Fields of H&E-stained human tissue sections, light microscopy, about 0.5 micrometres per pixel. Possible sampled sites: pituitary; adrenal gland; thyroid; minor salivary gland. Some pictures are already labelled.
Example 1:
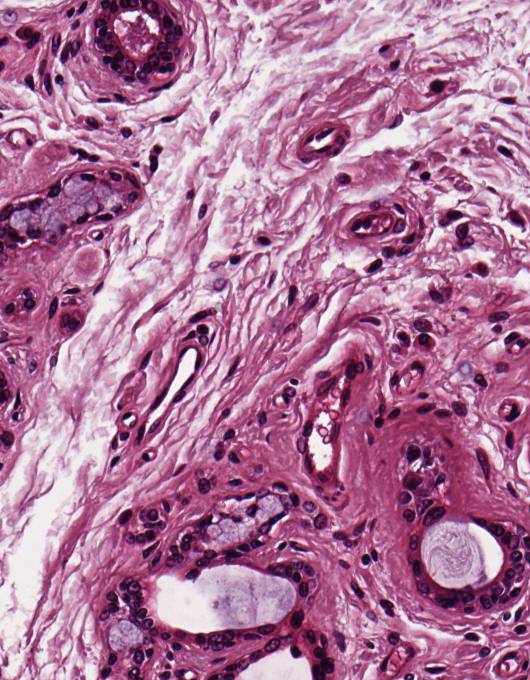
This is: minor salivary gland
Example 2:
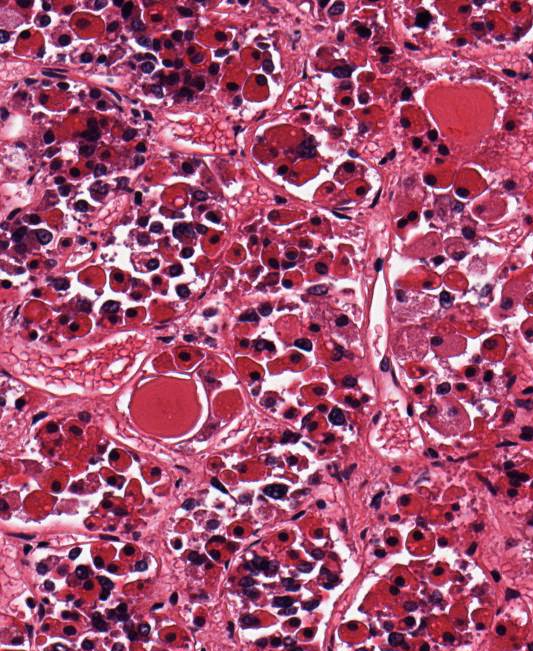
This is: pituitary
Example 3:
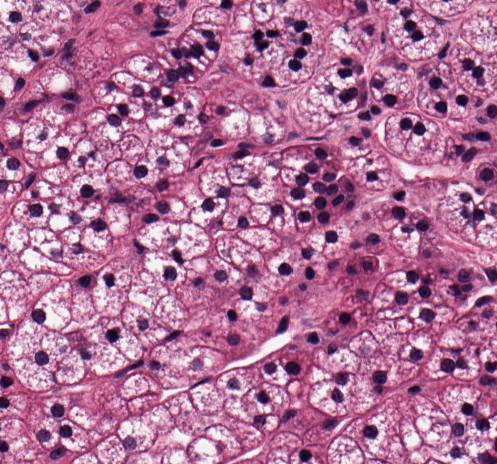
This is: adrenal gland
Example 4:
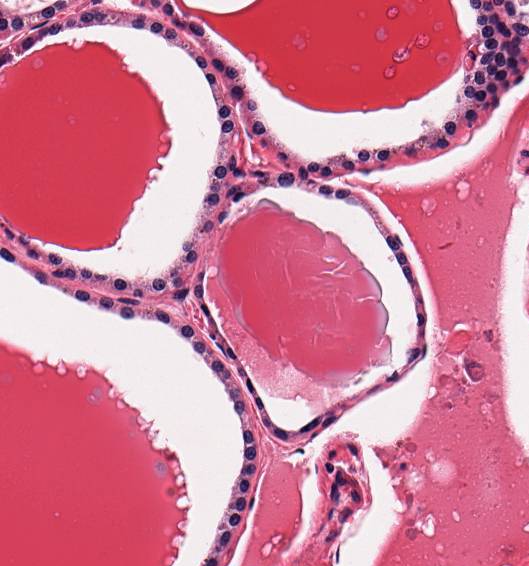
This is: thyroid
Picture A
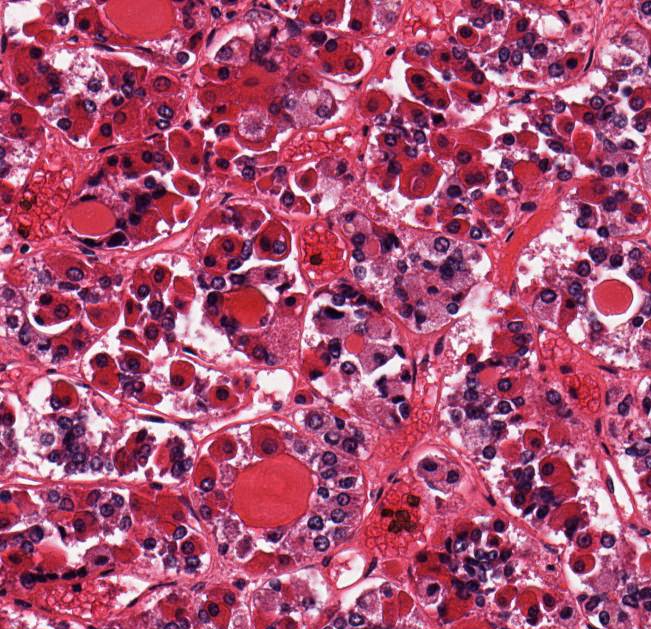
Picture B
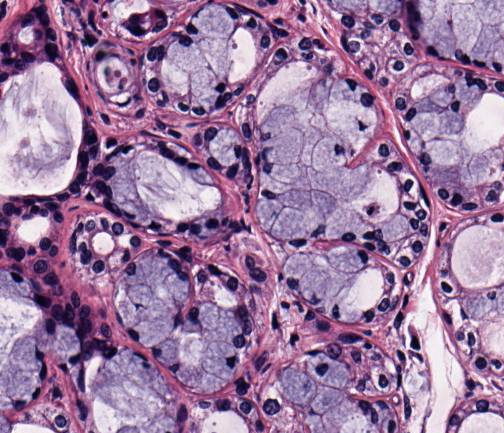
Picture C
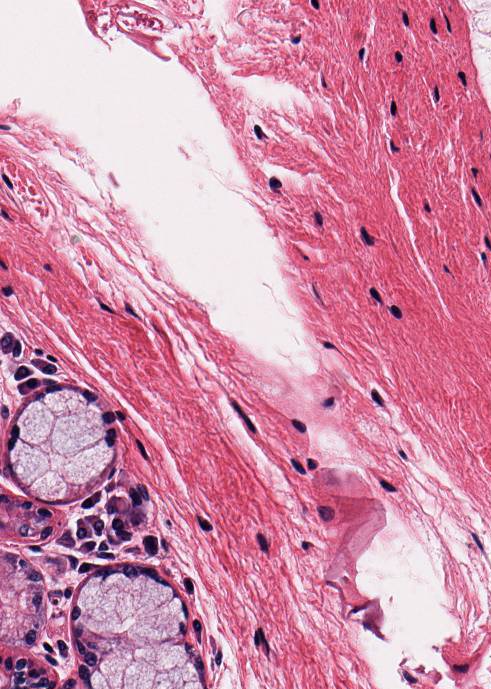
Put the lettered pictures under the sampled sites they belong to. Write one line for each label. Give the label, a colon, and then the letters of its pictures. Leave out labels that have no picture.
pituitary: A
minor salivary gland: B, C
